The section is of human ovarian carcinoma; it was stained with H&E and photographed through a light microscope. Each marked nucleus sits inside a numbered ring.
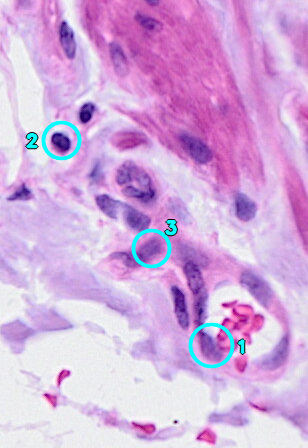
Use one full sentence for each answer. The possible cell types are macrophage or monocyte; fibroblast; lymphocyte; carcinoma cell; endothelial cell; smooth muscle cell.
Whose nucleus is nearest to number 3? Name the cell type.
The cell nearest to number 3 is an endothelial cell.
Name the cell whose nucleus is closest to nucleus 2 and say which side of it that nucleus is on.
Just above and to the right of nucleus 2 lies the nearest nucleus, which belongs to a lymphocyte.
